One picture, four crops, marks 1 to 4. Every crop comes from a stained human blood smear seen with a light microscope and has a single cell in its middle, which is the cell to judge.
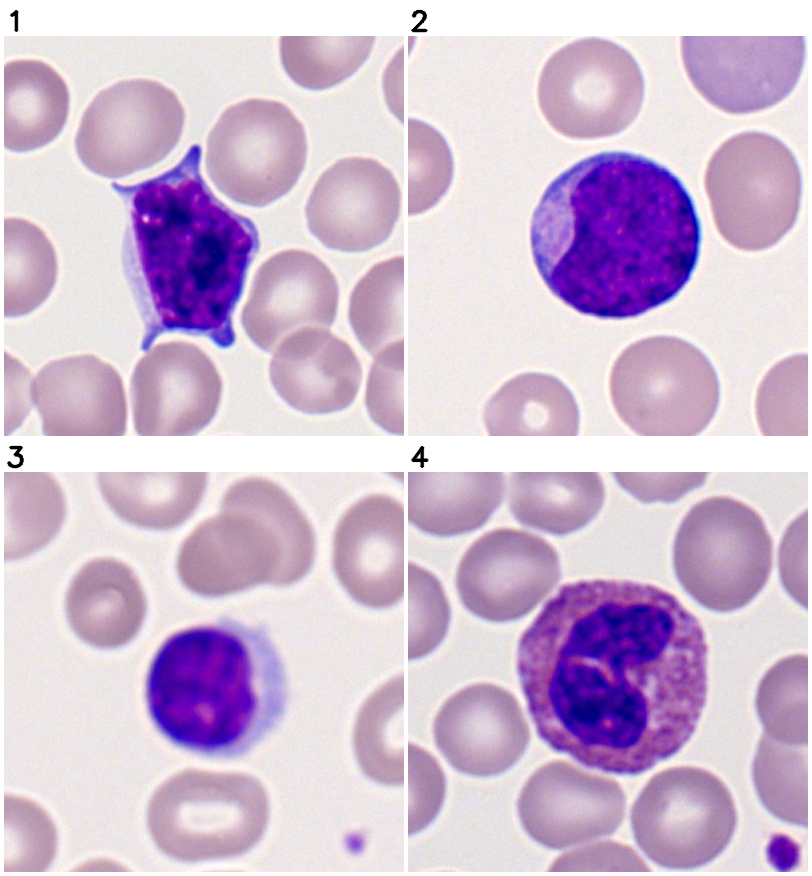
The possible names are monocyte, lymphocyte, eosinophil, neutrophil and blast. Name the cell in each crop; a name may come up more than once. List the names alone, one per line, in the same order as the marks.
lymphocyte
blast
lymphocyte
eosinophil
